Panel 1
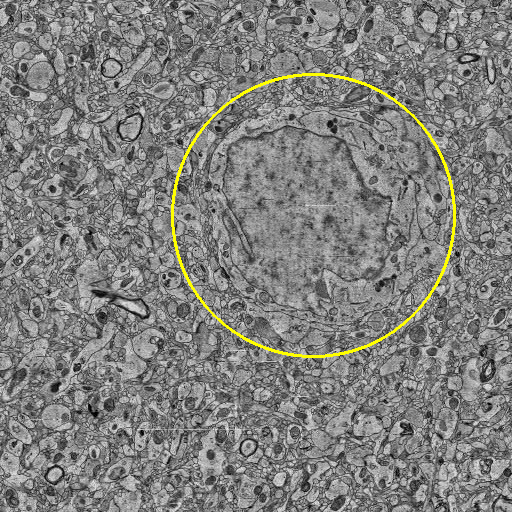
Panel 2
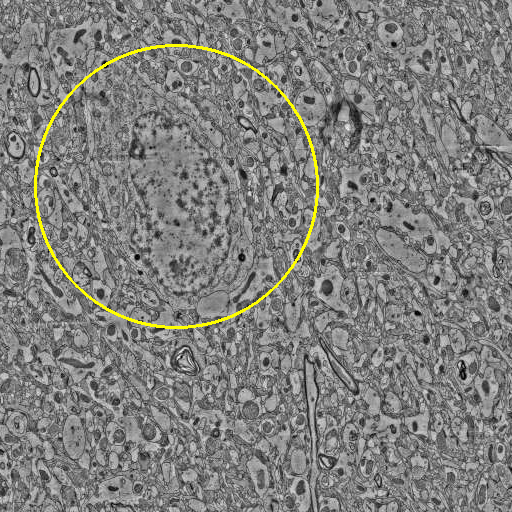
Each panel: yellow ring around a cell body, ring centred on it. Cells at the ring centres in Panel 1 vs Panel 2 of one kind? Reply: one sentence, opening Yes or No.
Yes, Panel 1 and Panel 2 have cells of one kind at the ring centres.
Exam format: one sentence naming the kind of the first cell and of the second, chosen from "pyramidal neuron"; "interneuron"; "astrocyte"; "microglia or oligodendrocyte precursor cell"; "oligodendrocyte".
In each picture the ringed cell is an interneuron.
